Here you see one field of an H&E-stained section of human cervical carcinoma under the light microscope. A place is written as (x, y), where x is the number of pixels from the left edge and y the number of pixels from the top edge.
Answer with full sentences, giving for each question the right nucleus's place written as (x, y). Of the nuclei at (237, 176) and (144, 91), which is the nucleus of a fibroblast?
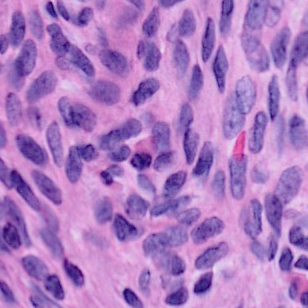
At (144, 91) lies the nucleus that belongs to a fibroblast.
